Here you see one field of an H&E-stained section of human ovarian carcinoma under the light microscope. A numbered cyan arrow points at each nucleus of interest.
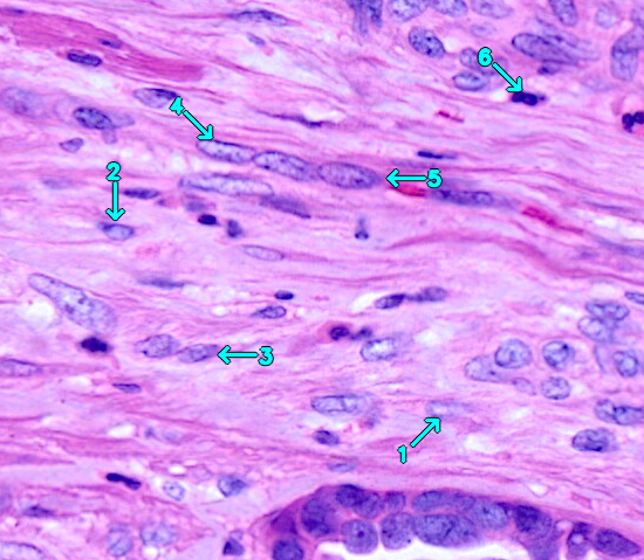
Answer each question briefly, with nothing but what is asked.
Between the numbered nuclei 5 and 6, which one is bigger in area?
5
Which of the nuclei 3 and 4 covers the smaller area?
3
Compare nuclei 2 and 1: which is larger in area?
1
